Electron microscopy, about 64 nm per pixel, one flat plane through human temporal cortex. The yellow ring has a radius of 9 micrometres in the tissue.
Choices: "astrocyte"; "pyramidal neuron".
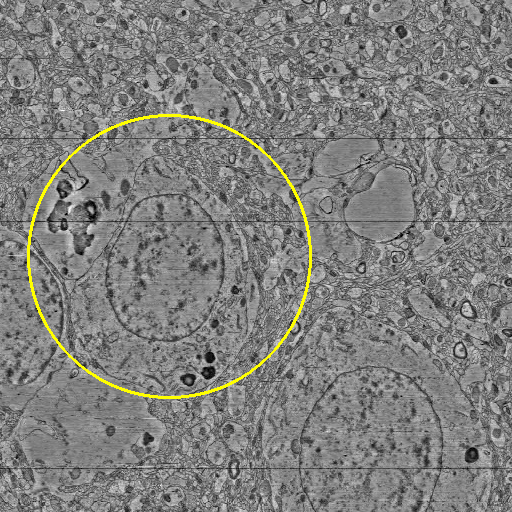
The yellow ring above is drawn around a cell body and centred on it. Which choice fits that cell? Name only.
pyramidal neuron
